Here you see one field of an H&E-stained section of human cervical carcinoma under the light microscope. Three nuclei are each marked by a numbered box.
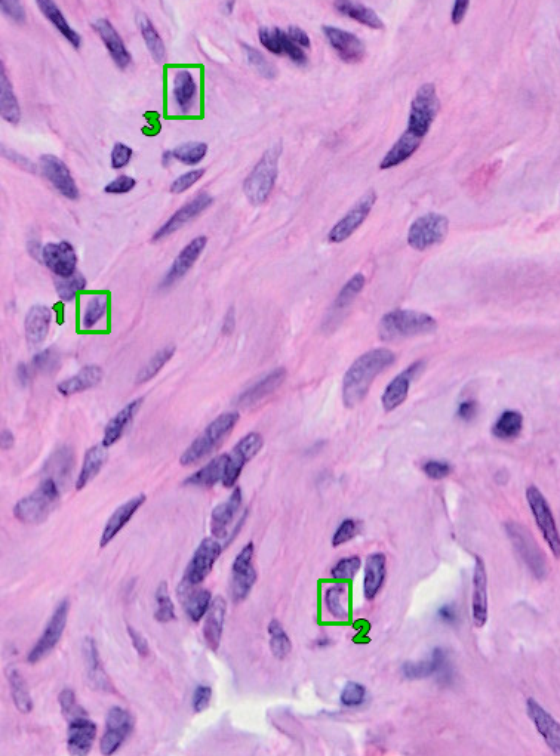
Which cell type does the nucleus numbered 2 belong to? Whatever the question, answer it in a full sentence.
The cell assigned the number 2 is an endothelial cell.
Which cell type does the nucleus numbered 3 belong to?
The mark numbered 3 indicates the nucleus of a fibroblast.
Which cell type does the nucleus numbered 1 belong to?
The cell referenced by the number 1 is a fibroblast in this field.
